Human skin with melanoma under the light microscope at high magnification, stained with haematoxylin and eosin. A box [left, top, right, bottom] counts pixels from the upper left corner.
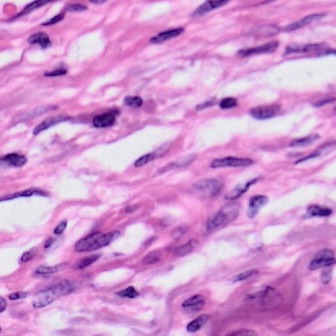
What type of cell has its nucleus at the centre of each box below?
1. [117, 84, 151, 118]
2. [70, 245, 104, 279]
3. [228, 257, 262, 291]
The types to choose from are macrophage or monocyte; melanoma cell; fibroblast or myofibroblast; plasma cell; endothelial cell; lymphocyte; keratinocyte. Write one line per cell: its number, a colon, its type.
1: plasma cell
2: endothelial cell
3: fibroblast or myofibroblast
